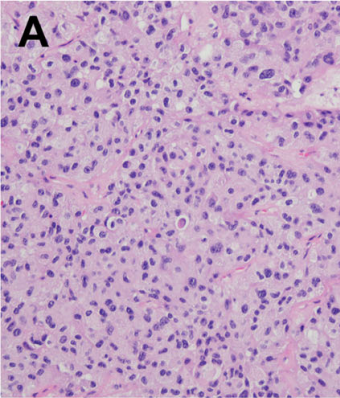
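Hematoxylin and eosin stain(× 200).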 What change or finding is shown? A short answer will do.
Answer: Occasional pleomorphic nuclei.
